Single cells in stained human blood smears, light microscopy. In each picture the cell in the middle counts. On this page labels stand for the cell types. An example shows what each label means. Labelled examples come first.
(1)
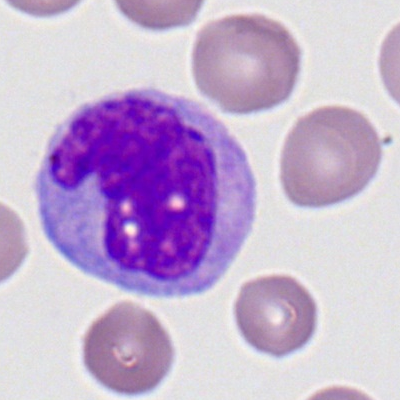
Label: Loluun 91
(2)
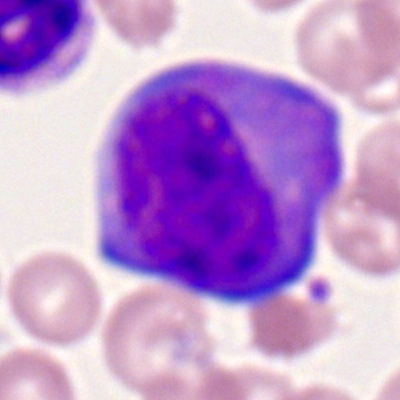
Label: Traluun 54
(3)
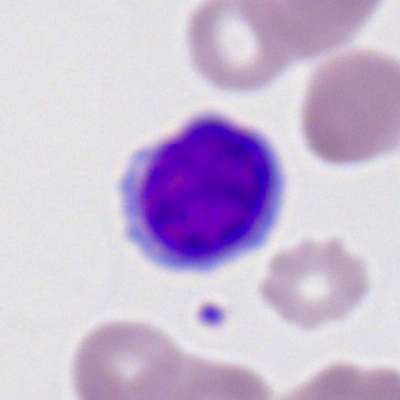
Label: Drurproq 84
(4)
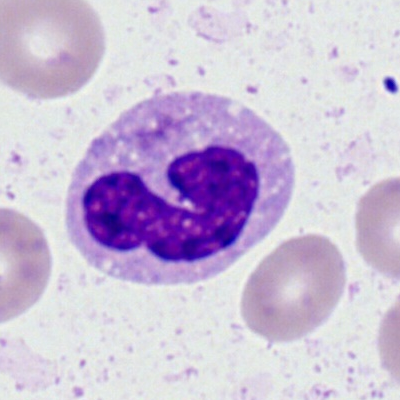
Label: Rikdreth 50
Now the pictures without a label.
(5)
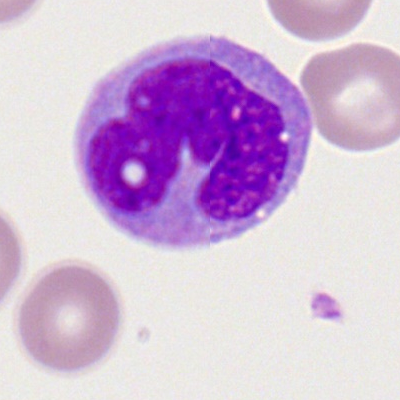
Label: Loluun 91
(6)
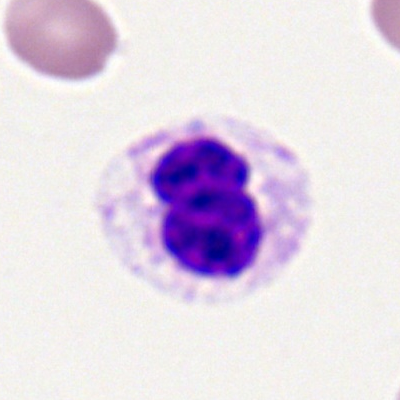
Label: Rikdreth 50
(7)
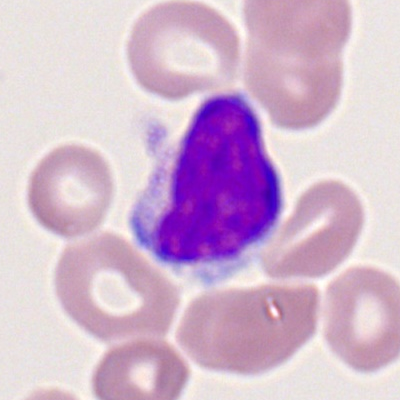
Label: Drurproq 84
